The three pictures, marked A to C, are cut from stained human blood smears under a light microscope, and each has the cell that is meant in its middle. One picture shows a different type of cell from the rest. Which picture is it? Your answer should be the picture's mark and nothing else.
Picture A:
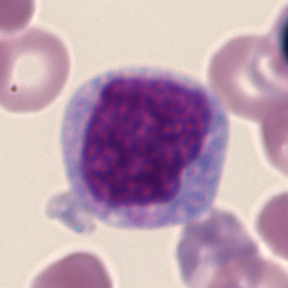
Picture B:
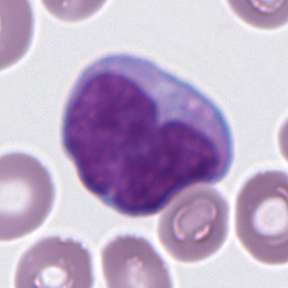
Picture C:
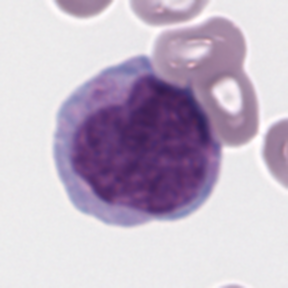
A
